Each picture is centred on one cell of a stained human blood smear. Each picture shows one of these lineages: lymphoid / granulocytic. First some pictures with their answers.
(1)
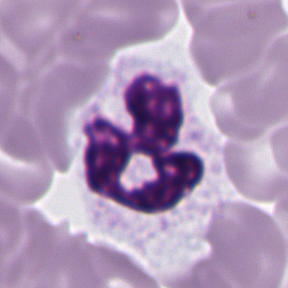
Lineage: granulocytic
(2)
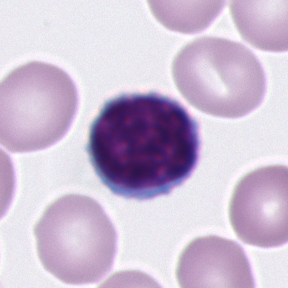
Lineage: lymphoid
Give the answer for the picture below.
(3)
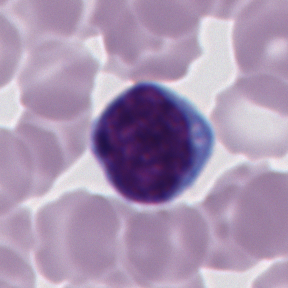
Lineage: lymphoid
